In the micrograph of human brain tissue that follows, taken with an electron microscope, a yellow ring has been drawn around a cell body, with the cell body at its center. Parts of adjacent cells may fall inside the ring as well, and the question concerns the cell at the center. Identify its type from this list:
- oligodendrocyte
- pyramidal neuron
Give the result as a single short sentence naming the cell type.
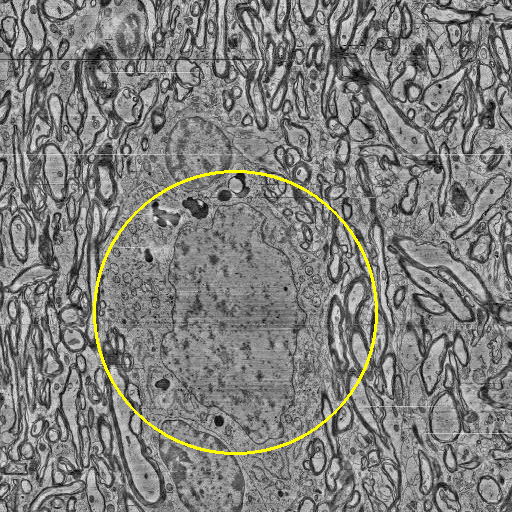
The ring is centered on a pyramidal neuron.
